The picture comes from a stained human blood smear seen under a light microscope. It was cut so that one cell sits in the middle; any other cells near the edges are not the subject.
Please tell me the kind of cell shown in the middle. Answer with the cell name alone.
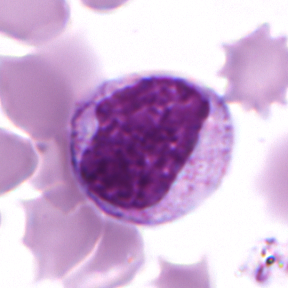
metamyelocyte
